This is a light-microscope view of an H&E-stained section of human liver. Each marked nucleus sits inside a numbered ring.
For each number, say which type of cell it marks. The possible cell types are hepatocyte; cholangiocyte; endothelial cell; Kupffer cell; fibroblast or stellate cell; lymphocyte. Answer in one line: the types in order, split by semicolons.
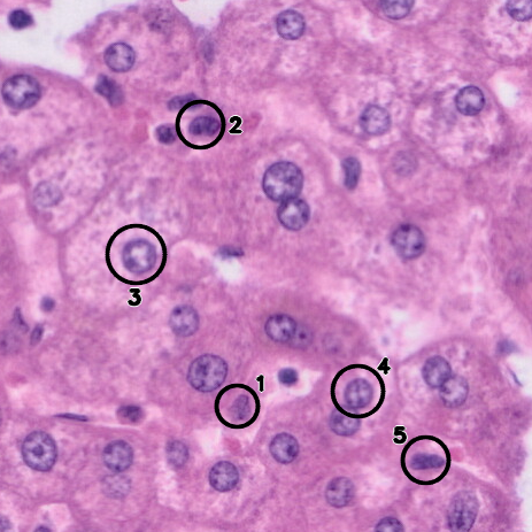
Kupffer cell; Kupffer cell; hepatocyte; hepatocyte; fibroblast or stellate cell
